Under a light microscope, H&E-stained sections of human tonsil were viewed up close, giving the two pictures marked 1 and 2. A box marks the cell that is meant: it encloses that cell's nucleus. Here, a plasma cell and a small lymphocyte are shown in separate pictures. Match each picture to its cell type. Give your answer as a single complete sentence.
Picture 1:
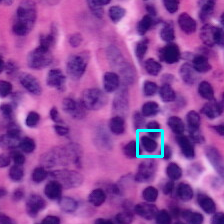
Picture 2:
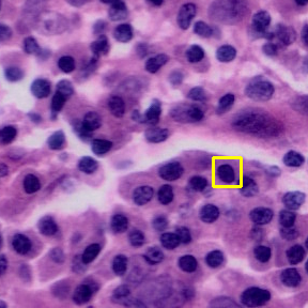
It is picture 1 that shows a small lymphocyte, and picture 2 that shows a plasma cell.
